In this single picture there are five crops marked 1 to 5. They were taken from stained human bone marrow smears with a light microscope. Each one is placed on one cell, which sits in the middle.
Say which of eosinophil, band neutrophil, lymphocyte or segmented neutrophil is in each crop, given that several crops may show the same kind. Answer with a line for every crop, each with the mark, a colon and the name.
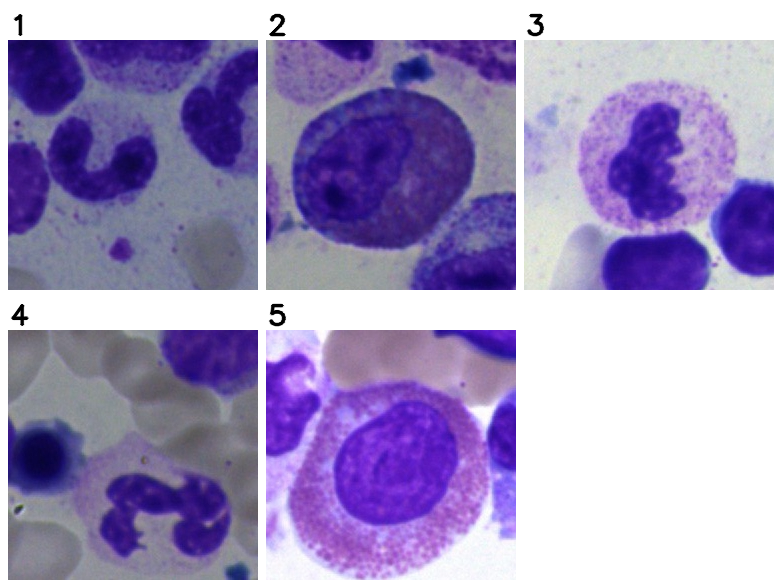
1: band neutrophil
2: eosinophil
3: segmented neutrophil
4: segmented neutrophil
5: eosinophil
